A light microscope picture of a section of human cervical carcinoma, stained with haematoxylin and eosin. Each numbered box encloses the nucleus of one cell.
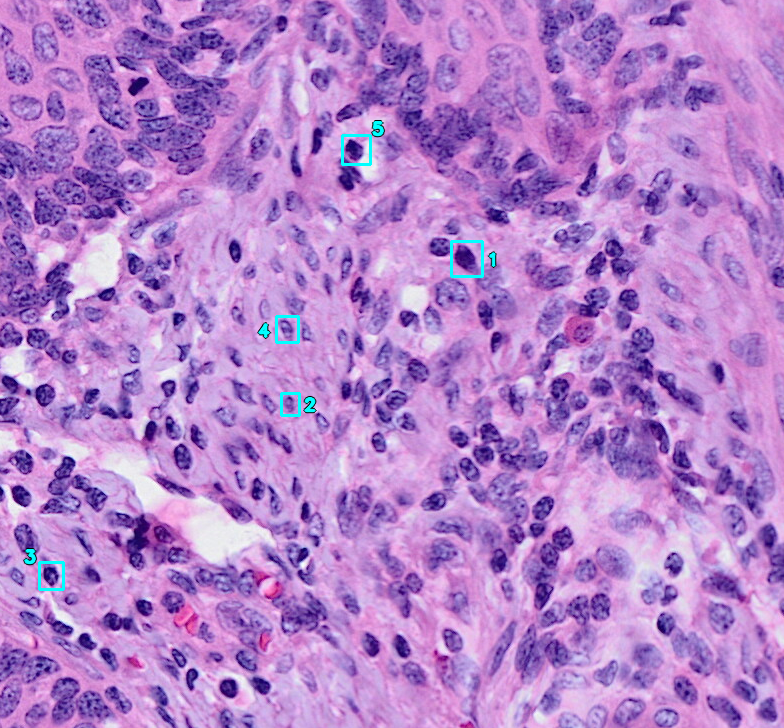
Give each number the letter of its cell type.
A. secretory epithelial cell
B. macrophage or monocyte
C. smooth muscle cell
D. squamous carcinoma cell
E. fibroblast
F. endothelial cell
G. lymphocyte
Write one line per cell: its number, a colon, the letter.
1: G
2: C
3: G
4: C
5: G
